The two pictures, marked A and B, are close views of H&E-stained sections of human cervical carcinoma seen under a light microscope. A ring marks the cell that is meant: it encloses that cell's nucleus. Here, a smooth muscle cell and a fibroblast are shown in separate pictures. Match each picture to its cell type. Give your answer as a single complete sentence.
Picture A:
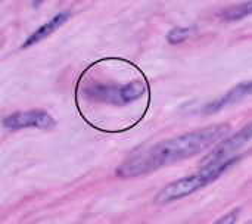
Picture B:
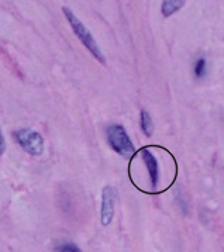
In picture A the cell is a smooth muscle cell; in picture B, a fibroblast.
